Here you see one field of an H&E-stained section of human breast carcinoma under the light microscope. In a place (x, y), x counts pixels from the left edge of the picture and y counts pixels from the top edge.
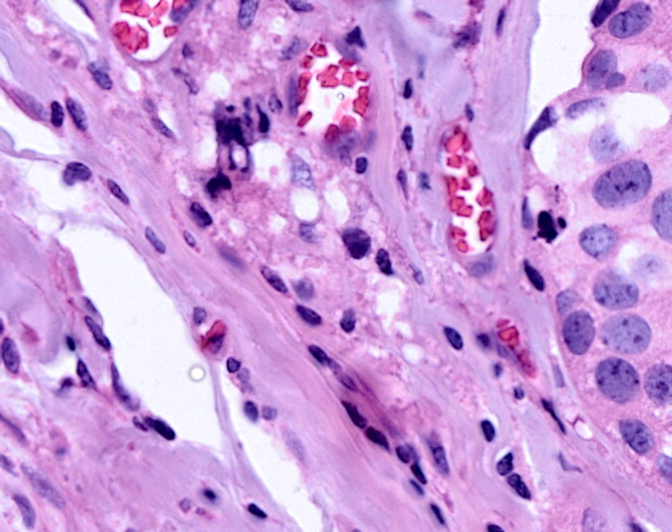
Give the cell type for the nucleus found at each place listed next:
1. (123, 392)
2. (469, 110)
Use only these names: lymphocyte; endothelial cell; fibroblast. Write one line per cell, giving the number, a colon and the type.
1: fibroblast
2: endothelial cell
